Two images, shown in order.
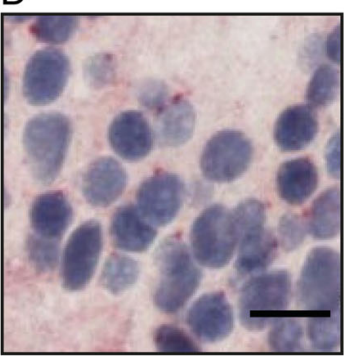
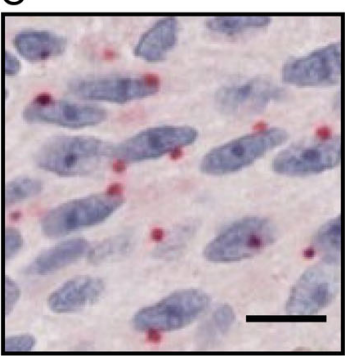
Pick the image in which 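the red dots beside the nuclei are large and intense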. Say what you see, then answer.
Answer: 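The second image. First image: red dots beside the nuclei are small and faint. Second image: red dots beside the nuclei are larger, rounder and deep red.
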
